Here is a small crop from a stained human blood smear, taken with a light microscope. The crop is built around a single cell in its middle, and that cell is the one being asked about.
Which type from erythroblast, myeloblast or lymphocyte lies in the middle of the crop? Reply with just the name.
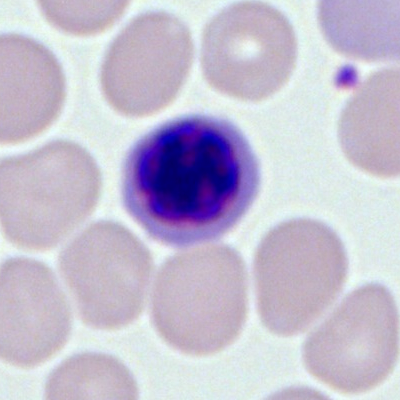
erythroblast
